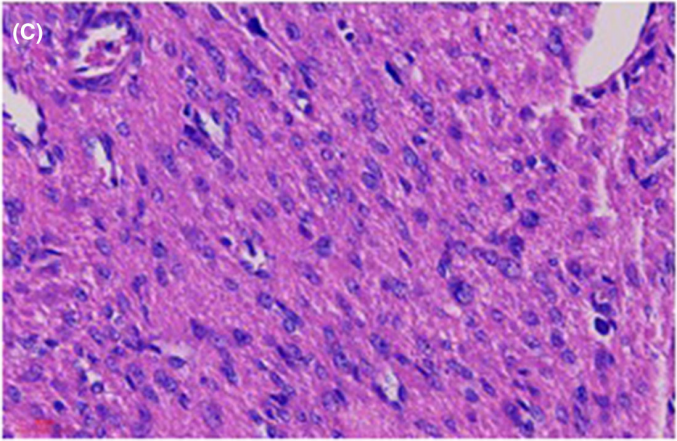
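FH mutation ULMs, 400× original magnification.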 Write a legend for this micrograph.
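This is a cellular tumor at high power in which the tumor cells have abundant pink, finely fibrillary cytoplasm. Their nuclei are ovoid to elongated and vary in size and shape, several being enlarged and darkly stained, which amounts to nuclear atypia. The cells are loosely aligned in one direction, and small thin-walled vessels lie at the corners of the field.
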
